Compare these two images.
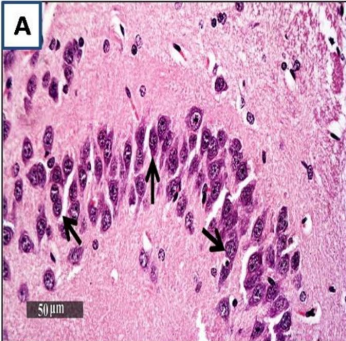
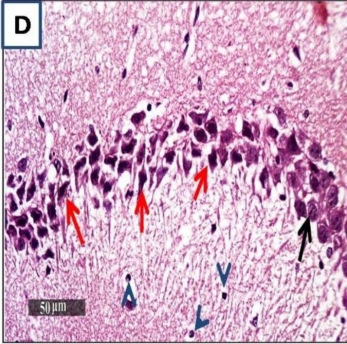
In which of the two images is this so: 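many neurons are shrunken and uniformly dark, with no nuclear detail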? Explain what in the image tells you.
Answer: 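Second image: most cells in the band are small, angular and dark purple throughout. First image: the cells in the band are large with round pale nuclei and visible nucleoli.
Hence: the second image.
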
